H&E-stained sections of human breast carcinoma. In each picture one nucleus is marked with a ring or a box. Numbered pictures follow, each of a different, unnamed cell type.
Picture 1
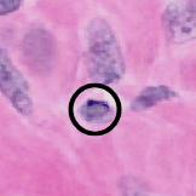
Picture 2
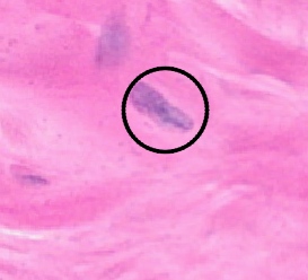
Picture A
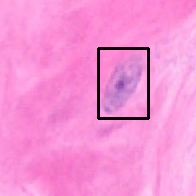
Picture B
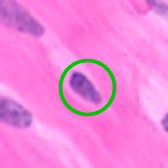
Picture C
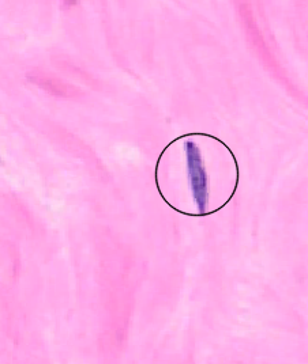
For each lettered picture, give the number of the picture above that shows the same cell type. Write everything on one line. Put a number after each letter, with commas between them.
A 2, B 1, C 2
